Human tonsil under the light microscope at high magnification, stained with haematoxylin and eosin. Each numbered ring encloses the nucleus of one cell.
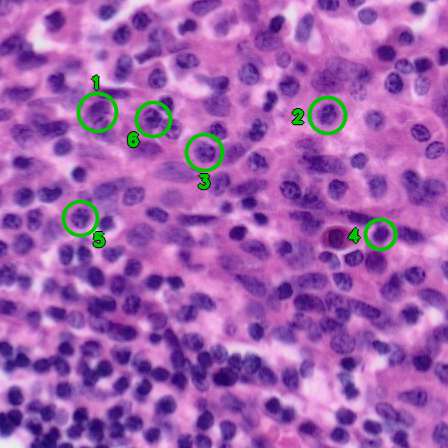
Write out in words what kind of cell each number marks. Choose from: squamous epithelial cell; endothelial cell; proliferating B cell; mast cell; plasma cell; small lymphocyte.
Cells 1 and 4 are squamous epithelial cells. Cells 2, 3, 5 and 6 are plasma cells.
